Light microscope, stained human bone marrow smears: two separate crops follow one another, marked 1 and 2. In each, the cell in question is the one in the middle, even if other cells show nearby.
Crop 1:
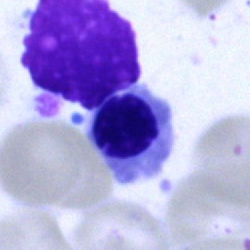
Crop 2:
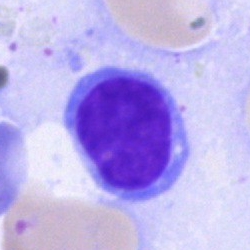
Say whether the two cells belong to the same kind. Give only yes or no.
no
